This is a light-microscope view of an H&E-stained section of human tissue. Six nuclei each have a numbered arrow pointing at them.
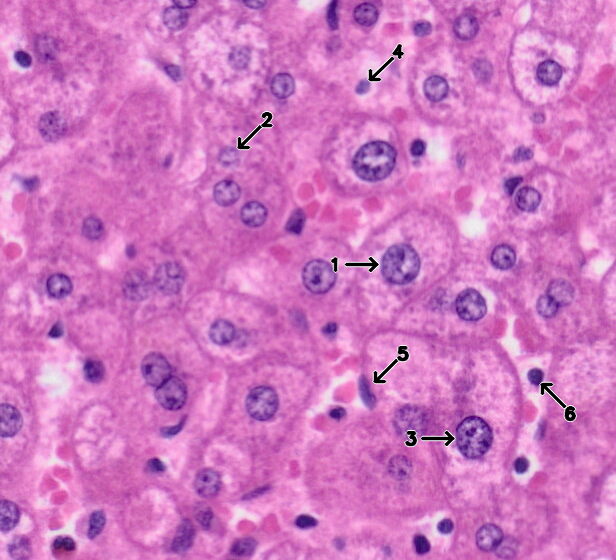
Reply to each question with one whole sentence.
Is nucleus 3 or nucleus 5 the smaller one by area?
With nucleus 3 about 3 times its size, nucleus 5 is the smaller of the two.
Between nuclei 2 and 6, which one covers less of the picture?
Nucleus 6 covers less area, with nucleus 2 about 1.5 times as large.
